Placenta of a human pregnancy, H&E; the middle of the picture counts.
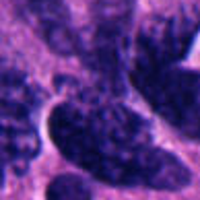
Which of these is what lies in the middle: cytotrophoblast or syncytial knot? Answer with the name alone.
syncytial knot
